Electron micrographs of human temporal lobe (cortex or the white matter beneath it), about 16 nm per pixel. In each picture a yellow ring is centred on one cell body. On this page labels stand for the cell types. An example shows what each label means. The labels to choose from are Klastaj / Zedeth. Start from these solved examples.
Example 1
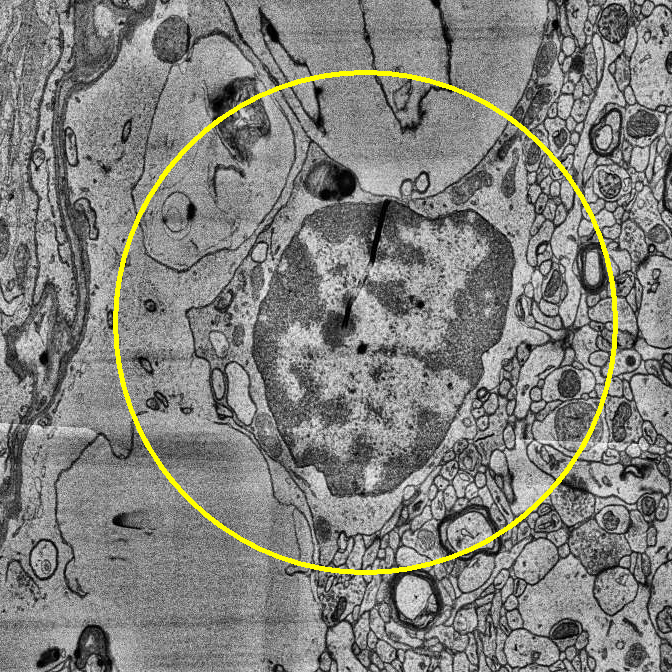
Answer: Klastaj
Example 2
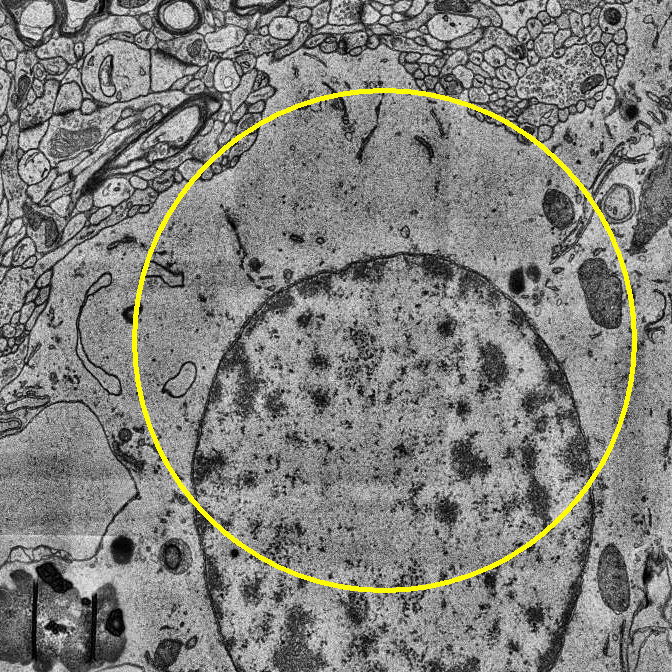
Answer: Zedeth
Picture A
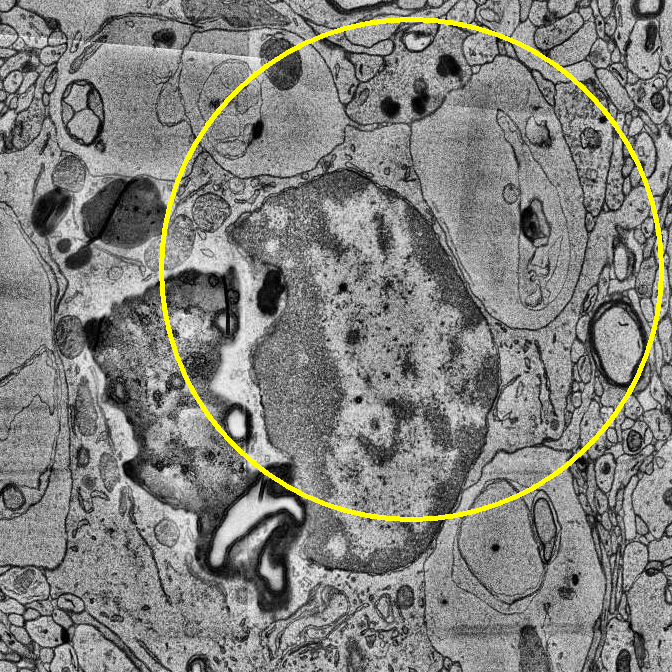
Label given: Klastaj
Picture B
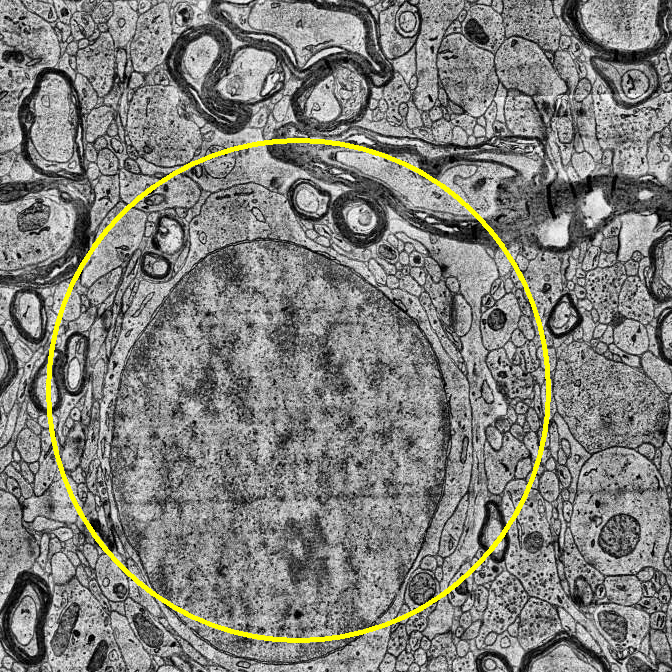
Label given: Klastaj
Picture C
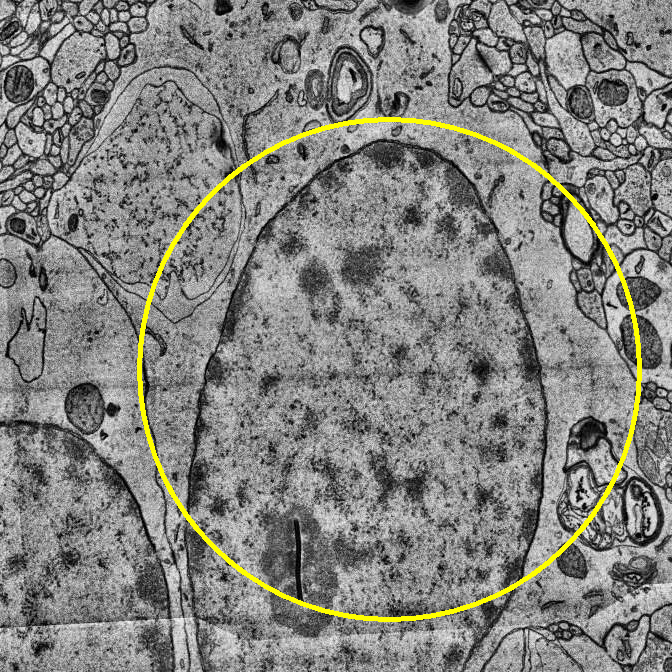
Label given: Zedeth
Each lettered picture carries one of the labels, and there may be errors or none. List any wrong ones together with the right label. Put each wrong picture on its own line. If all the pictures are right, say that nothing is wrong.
All correct.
